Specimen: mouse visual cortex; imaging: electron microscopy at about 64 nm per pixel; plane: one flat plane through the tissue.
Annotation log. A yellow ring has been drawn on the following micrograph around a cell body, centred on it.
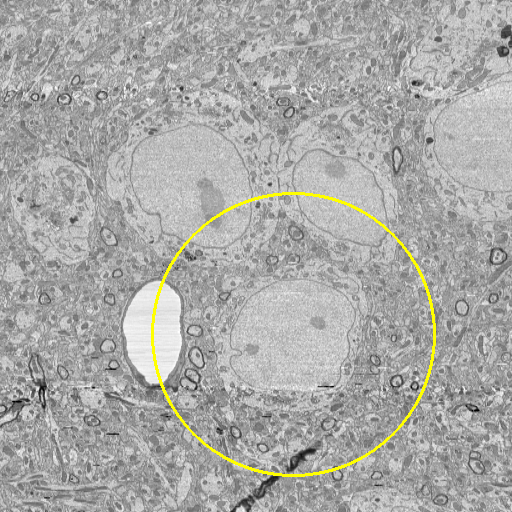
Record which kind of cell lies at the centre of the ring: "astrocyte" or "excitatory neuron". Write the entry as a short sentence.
The cell the ring is centred on is an excitatory neuron.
